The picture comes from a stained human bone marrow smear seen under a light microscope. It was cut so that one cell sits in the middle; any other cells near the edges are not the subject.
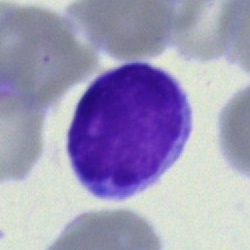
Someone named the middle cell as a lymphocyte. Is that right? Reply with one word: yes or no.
yes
